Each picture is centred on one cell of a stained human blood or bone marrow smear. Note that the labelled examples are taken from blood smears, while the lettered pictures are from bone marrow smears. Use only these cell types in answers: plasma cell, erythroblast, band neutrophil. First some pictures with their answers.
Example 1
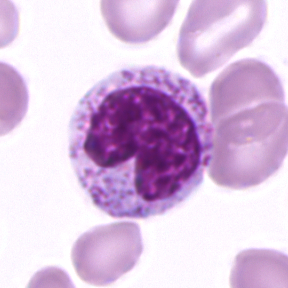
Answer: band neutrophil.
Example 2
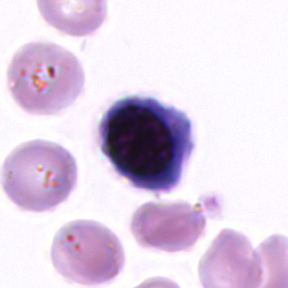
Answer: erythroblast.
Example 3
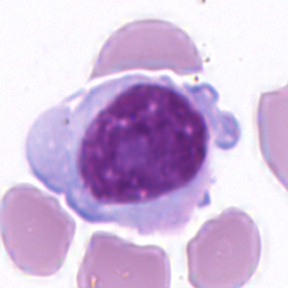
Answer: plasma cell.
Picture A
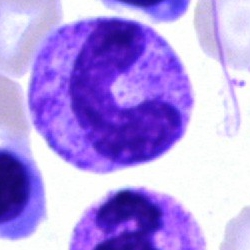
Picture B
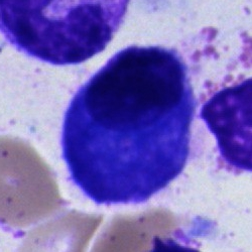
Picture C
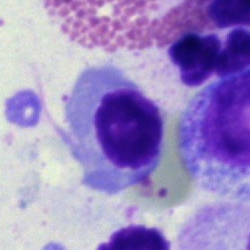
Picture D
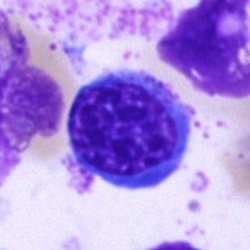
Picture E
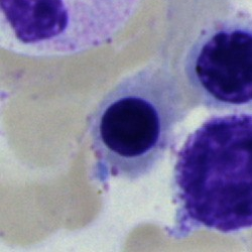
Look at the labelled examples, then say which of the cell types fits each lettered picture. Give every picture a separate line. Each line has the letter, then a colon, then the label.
A: band neutrophil.
B: plasma cell.
C: erythroblast.
D: erythroblast.
E: erythroblast.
